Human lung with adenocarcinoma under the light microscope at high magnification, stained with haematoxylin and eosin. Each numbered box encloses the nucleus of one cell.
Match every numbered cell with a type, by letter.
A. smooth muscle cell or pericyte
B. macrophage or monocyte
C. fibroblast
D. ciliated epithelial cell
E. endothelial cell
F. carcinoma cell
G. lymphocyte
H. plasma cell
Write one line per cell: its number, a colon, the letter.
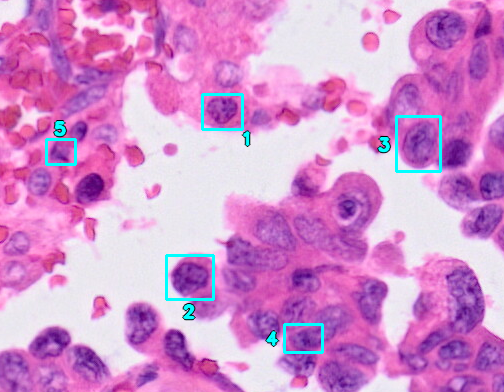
1: B
2: F
3: F
4: F
5: B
